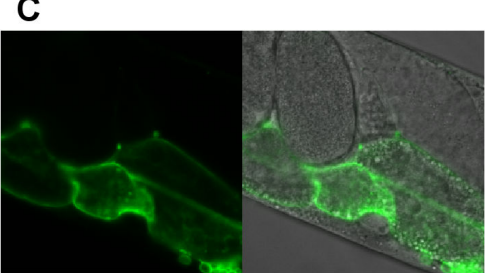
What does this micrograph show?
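An oval egg with granular contents lies above and beside the fluorescent cells in the merged image. The fluorescent cells form a band running along the length of the body.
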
